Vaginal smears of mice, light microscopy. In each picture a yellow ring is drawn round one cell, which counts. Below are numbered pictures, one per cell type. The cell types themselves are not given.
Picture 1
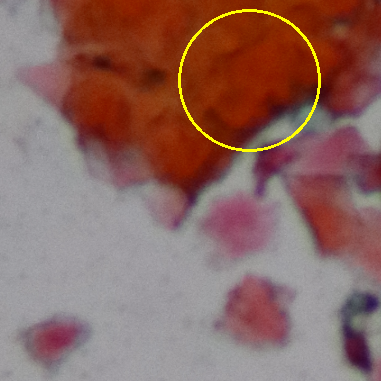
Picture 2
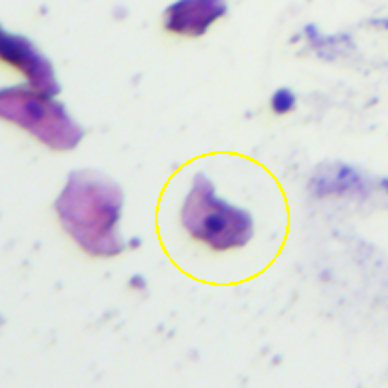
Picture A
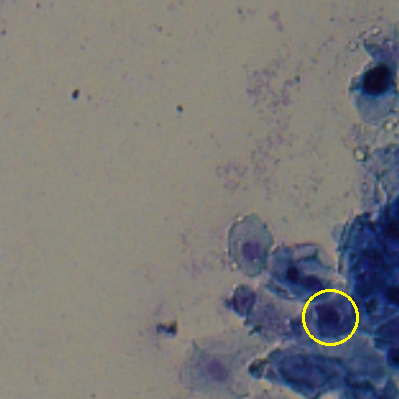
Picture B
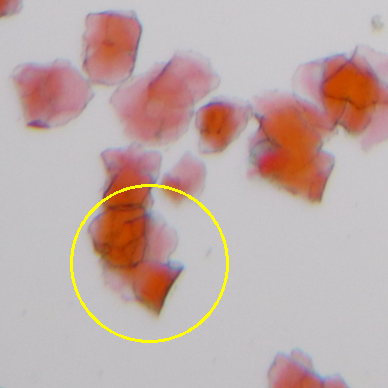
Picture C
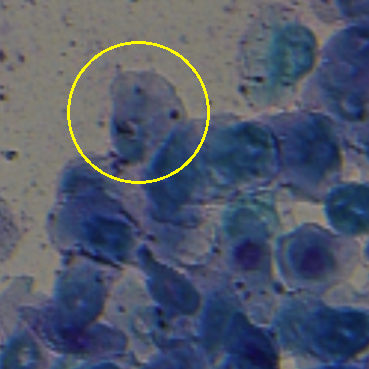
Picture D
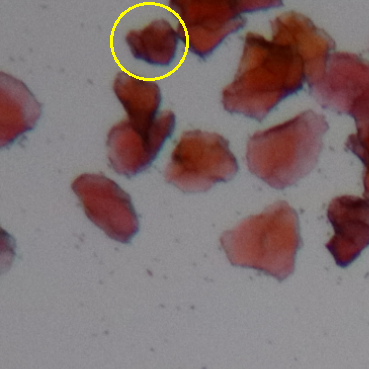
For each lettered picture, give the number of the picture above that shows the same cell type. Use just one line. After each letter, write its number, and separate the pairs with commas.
A 2, B 1, C 1, D 1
